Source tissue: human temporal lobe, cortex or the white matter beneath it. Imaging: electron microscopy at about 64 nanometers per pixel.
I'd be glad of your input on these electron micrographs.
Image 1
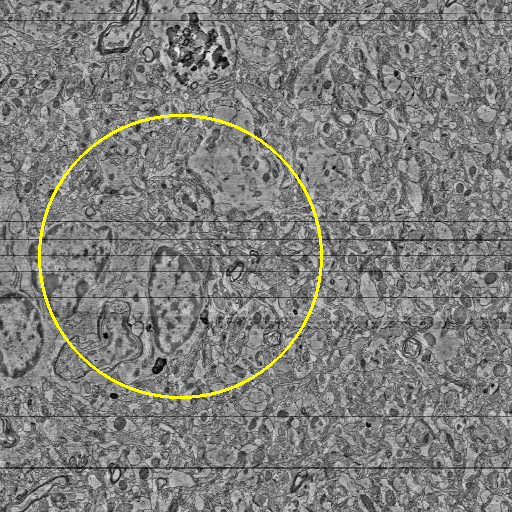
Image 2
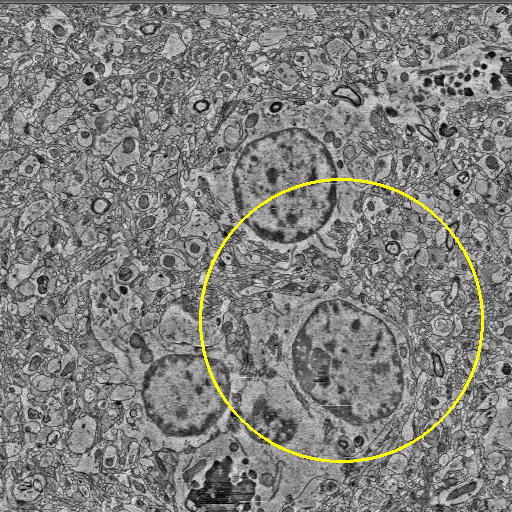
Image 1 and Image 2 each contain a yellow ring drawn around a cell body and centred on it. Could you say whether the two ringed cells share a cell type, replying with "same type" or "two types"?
two types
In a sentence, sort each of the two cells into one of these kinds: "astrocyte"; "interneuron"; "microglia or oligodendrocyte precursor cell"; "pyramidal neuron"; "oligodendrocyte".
The first of the two cells is a microglial cell or oligodendrocyte precursor cell, and the second is an astrocyte.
